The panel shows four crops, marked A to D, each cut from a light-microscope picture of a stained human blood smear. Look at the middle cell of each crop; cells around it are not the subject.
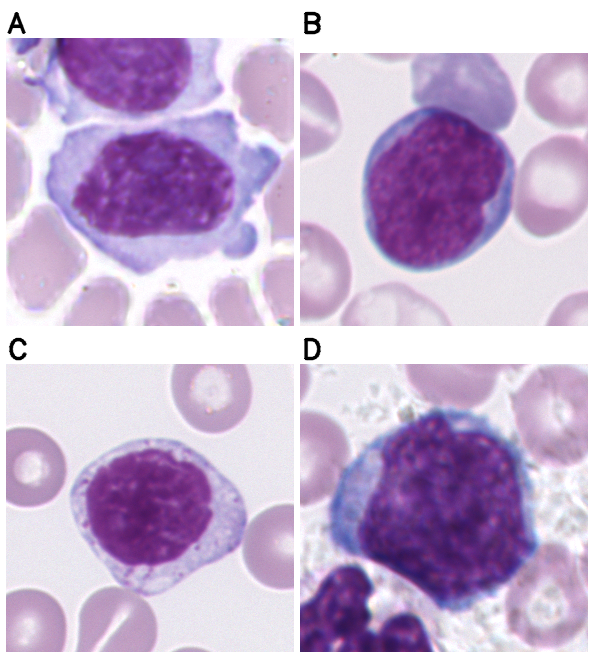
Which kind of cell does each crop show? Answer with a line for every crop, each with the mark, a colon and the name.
A: plasma cell
B: myeloblast
C: large granular lymphocyte
D: myeloblast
